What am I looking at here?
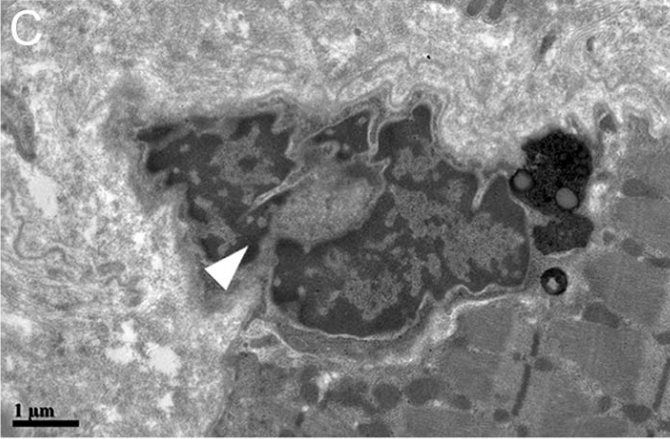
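An irregular nucleus lies at the edge of a striated muscle fiber, surrounded by a wavy folded membrane and fibrillar interstitial material. Its chromatin is dense and dark, clumped along the margin, and the nuclear outline is broken into irregular lobes. Nearby lie dark, dense bodies containing small round pale inclusions.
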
